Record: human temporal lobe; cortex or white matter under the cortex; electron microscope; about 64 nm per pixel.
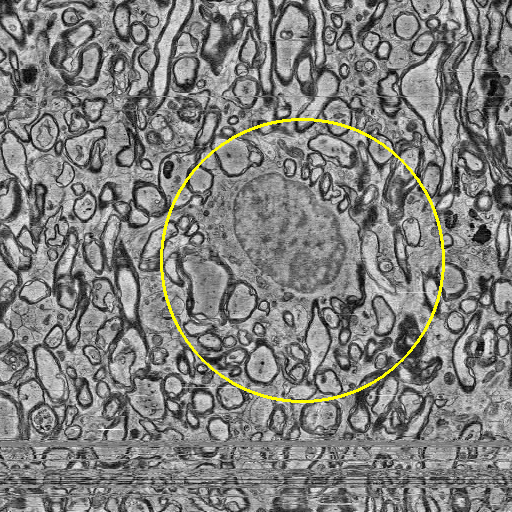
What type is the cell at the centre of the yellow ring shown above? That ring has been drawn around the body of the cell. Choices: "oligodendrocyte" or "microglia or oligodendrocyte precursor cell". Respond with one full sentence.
My answer is that an oligodendrocyte lies at the centre of the yellow ring above.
